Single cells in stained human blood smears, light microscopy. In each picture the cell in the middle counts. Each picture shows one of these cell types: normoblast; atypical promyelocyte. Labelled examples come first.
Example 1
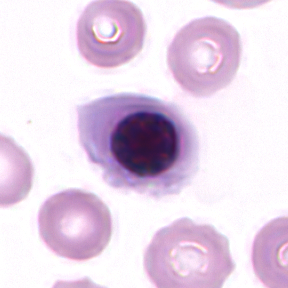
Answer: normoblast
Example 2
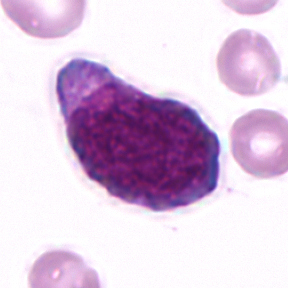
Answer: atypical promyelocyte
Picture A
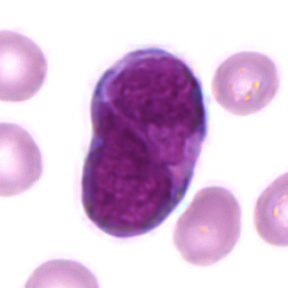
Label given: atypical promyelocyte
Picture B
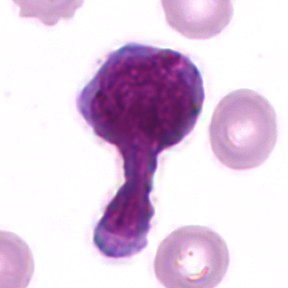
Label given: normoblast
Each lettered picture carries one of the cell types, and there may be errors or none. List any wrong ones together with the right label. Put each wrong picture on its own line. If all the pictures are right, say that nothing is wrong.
Wrong: B (normoblast); correct: atypical promyelocyte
